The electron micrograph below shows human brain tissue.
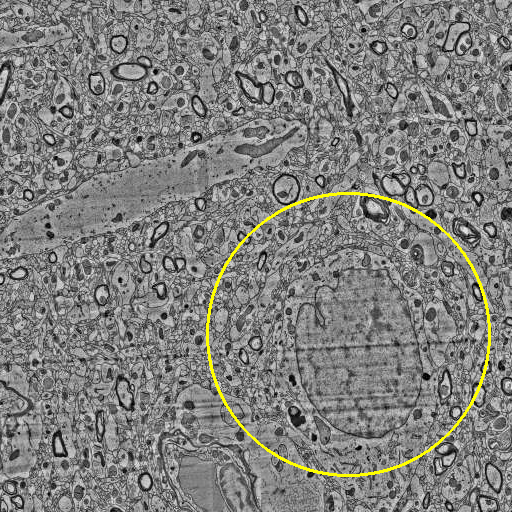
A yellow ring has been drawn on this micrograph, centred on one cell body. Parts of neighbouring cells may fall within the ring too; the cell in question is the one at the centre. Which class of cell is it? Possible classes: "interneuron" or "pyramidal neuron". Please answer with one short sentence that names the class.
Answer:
In the centre of the ring sits a pyramidal neuron.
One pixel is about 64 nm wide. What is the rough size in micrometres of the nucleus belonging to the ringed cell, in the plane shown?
The nucleus measures about 11 by 8 micrometres in this plane.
